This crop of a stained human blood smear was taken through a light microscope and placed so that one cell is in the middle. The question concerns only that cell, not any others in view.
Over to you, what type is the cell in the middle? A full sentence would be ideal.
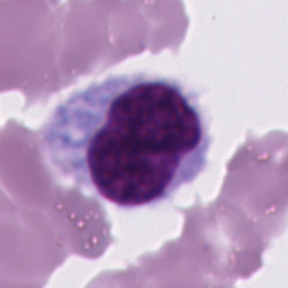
Looking at the middle of the crop, the cell there is a hairy cell.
